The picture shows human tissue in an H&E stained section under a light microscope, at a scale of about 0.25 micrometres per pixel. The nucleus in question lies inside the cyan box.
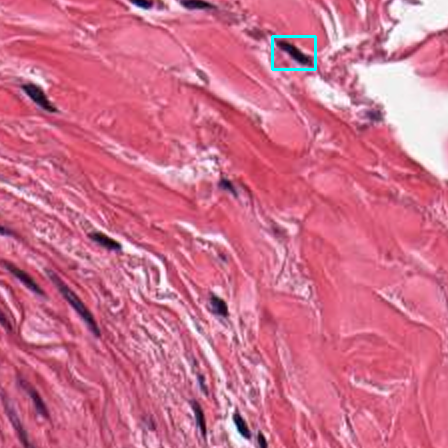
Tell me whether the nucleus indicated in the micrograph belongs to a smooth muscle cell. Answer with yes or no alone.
no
